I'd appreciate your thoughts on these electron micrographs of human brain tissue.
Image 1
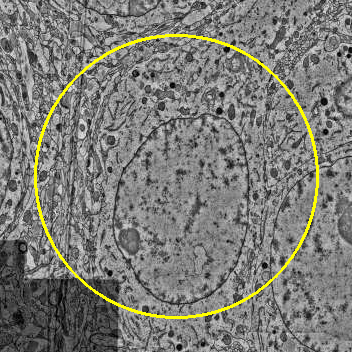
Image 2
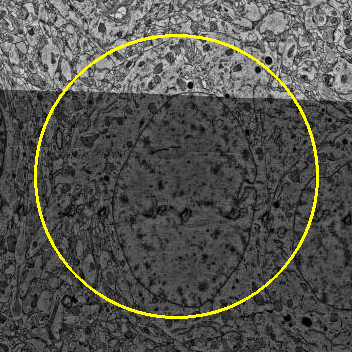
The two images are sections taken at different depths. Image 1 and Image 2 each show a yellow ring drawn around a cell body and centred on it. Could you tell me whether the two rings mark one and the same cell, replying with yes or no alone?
yes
